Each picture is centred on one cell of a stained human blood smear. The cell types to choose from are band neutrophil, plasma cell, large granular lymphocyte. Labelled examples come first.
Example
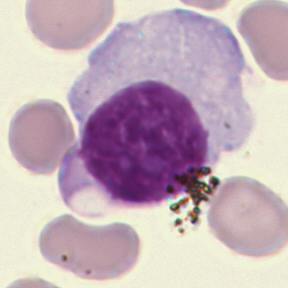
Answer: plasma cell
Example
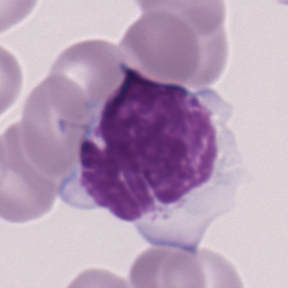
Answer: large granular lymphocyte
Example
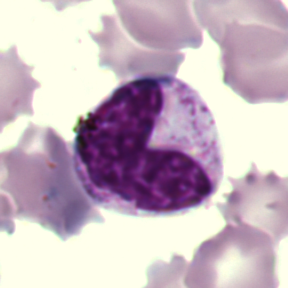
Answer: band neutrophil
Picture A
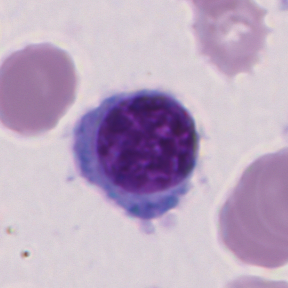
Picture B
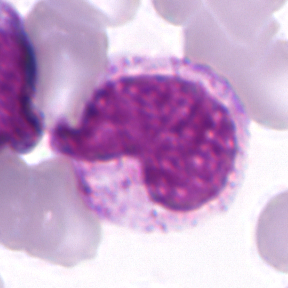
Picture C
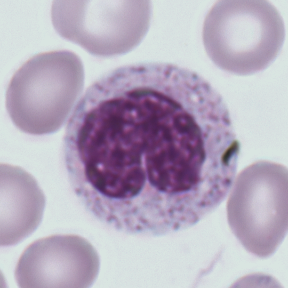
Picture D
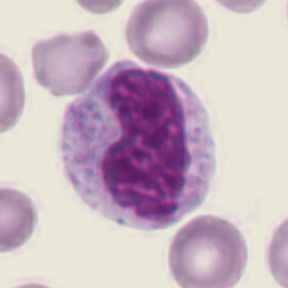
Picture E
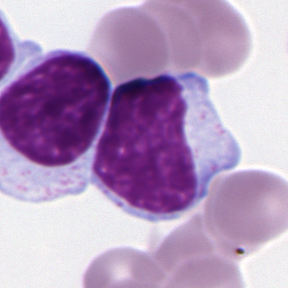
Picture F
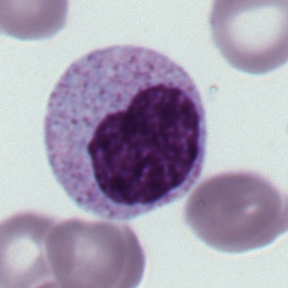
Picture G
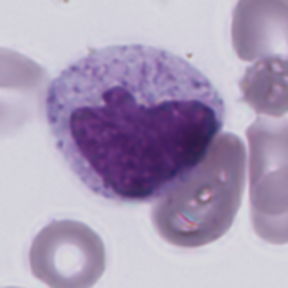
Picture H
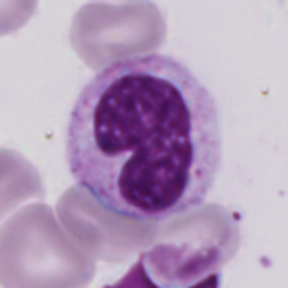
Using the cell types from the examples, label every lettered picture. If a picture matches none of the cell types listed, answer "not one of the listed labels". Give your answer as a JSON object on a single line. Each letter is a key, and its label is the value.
{"A": "plasma cell", "B": "band neutrophil", "C": "band neutrophil", "D": "not one of the listed labels", "E": "large granular lymphocyte", "F": "not one of the listed labels", "G": "not one of the listed labels", "H": "band neutrophil"}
